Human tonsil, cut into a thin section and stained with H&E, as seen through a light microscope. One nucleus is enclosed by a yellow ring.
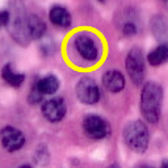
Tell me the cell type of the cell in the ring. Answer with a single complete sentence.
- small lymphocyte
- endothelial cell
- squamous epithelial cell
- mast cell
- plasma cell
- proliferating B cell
As a matter of cell type, the cell in the ring is a plasma cell.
